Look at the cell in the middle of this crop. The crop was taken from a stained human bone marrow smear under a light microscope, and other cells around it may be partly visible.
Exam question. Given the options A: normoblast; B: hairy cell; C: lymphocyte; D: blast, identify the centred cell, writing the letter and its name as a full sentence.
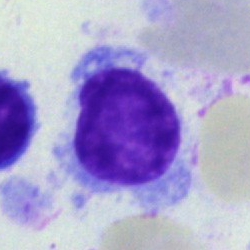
Option B gives the correct identity of the central cell, namely a hairy cell.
